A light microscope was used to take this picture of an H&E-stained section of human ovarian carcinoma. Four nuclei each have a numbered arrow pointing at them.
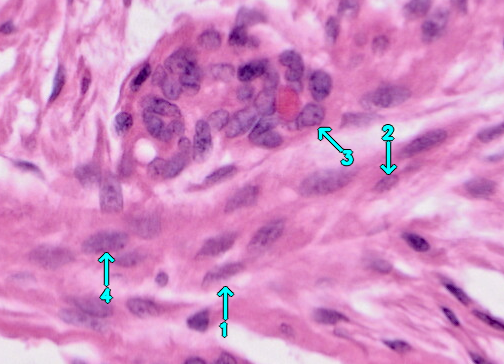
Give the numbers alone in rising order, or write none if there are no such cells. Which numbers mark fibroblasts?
1, 2, 4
